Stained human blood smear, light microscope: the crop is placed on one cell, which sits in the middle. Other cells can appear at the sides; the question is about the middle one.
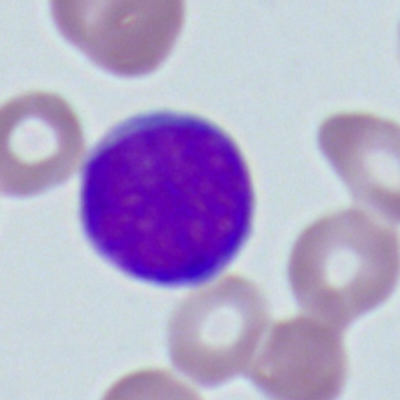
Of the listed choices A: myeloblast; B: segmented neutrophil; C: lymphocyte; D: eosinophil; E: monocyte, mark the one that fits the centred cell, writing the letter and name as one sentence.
Identified correctly by option A, the cell in the middle is a myeloblast.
